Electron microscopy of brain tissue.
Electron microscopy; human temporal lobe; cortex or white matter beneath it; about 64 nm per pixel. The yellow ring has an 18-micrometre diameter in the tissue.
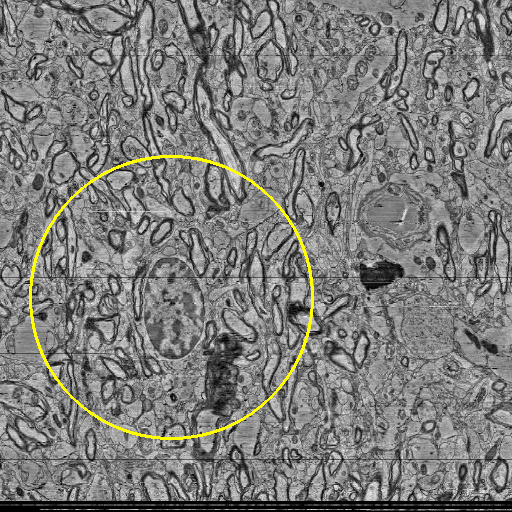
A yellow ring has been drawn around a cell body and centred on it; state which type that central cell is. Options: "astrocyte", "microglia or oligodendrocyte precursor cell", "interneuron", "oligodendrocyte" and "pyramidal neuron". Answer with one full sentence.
The cell at the middle of the yellow ring is a microglial cell or oligodendrocyte precursor cell in this picture.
